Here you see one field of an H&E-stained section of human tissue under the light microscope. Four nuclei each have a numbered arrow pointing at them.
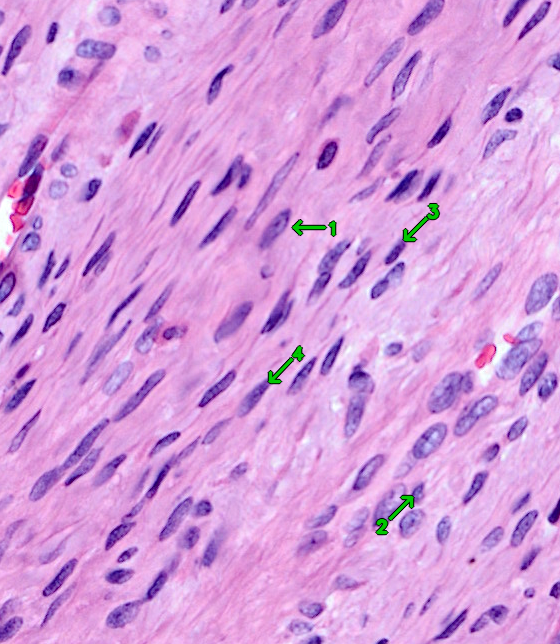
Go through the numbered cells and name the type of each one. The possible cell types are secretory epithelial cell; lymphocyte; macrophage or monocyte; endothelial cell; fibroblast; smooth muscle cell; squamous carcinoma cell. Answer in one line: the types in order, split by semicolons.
fibroblast; smooth muscle cell; fibroblast; fibroblast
